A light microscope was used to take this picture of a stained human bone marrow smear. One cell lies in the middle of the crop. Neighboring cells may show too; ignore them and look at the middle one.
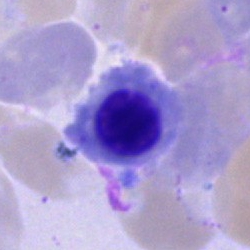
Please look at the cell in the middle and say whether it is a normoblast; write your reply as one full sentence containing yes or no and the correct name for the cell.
Yes, the cell positioned in the middle is a normoblast.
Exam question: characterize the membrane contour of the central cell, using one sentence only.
An uneven margin is present, with either ragged stretches or outward projections.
